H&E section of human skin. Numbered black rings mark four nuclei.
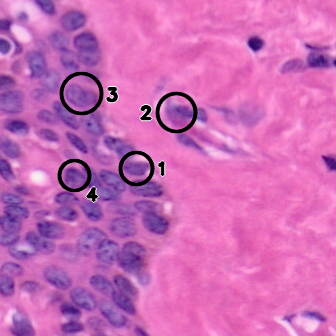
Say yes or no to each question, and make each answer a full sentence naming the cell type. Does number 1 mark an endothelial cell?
No, the cell given number 1 is a basal keratinocyte, as opposed to an endothelial cell.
